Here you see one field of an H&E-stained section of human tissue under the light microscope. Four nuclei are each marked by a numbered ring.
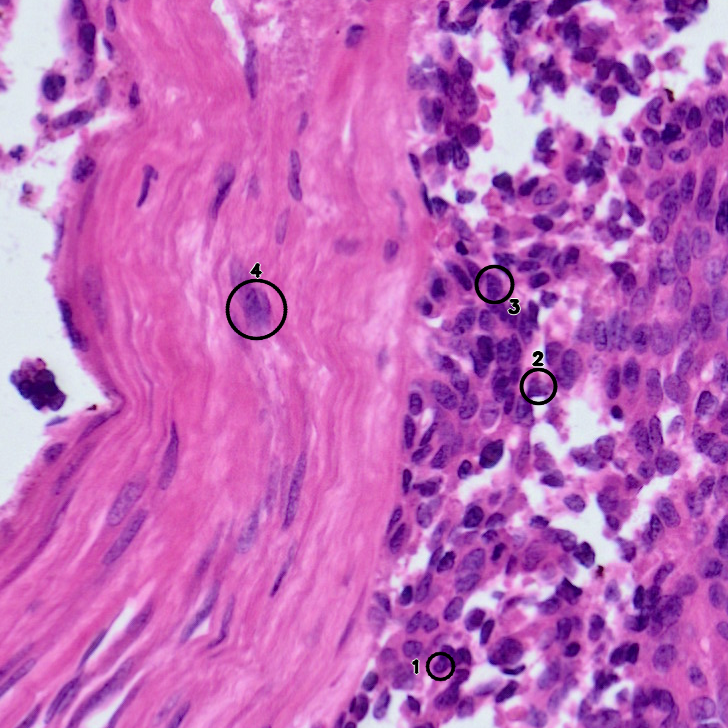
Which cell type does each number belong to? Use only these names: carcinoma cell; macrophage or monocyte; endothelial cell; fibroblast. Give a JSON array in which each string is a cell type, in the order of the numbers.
["carcinoma cell", "carcinoma cell", "carcinoma cell", "fibroblast"]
